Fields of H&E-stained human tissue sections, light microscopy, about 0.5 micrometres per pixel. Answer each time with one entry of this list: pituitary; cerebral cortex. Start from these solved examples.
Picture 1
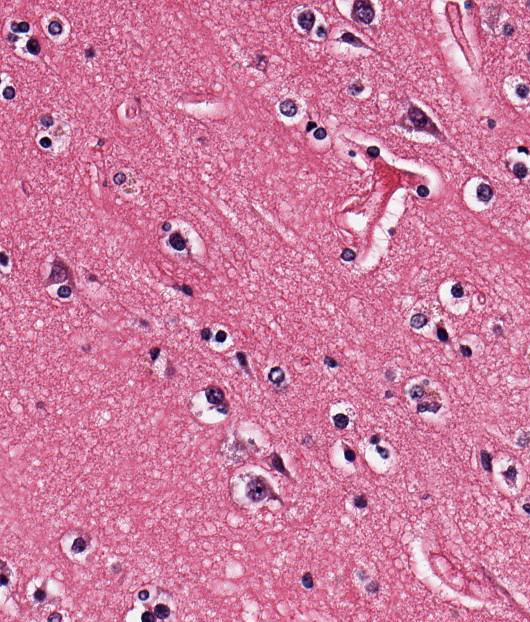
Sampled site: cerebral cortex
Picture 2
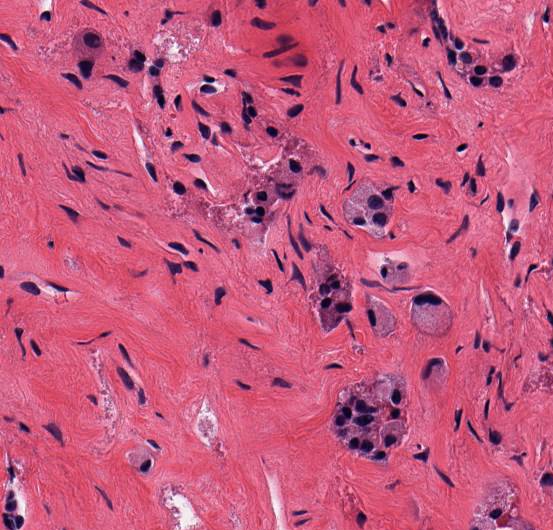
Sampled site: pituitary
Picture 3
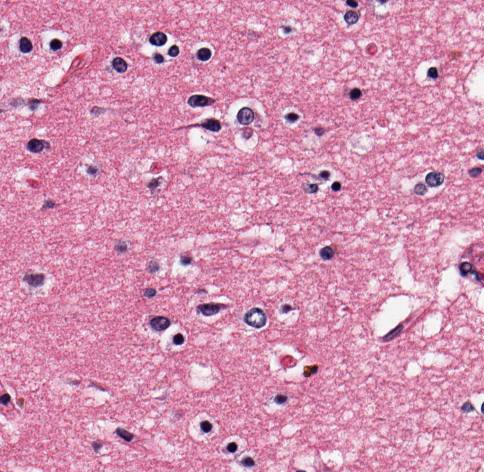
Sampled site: cerebral cortex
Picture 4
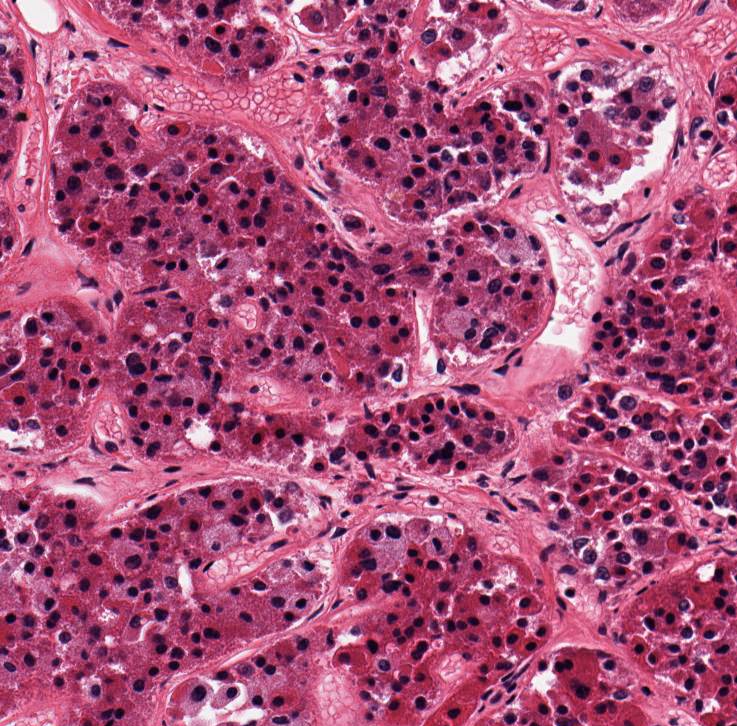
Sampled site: pituitary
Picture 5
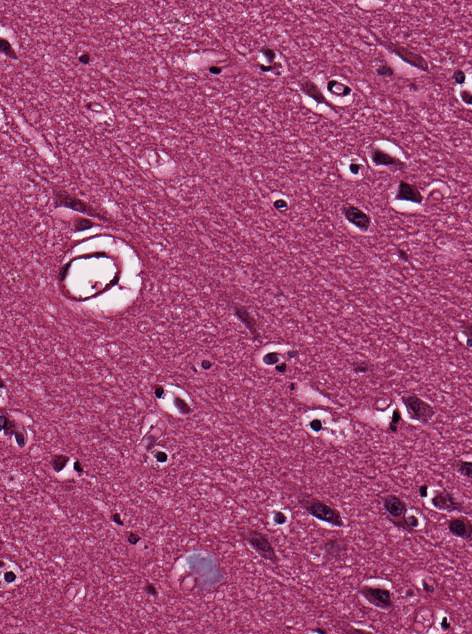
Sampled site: cerebral cortex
